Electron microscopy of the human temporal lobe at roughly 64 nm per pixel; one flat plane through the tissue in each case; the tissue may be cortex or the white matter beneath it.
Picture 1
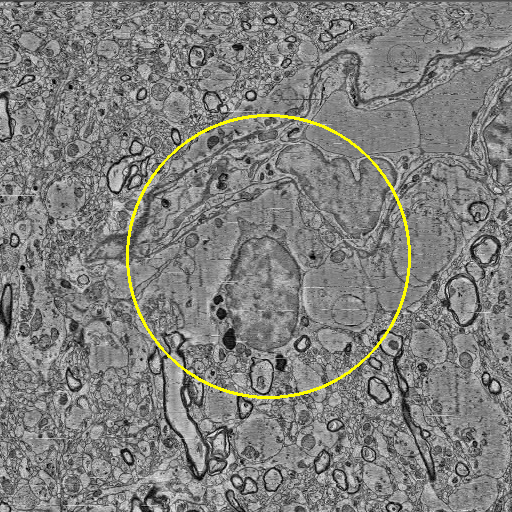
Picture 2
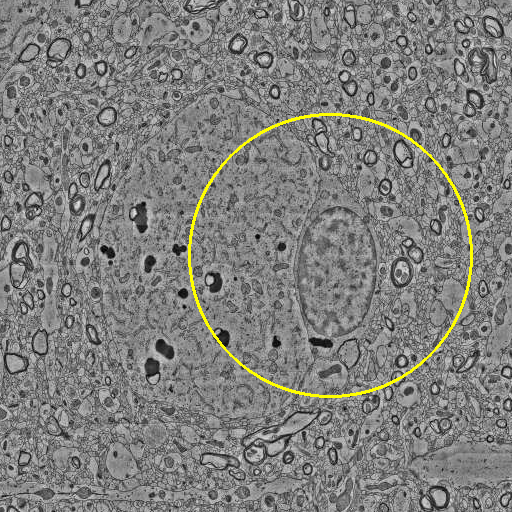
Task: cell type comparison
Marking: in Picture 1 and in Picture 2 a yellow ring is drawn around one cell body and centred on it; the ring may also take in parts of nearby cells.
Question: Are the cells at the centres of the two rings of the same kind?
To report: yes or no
yes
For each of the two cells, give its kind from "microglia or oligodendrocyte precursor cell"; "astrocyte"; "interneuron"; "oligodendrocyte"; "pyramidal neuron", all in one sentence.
Each cell, in the first picture and the second, is an oligodendrocyte.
